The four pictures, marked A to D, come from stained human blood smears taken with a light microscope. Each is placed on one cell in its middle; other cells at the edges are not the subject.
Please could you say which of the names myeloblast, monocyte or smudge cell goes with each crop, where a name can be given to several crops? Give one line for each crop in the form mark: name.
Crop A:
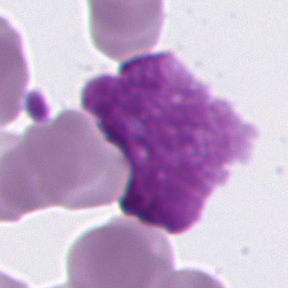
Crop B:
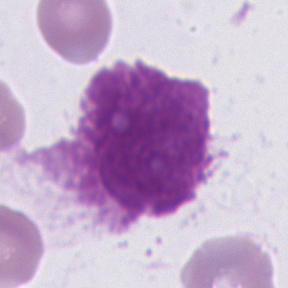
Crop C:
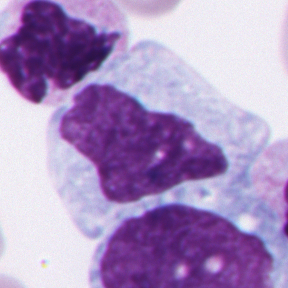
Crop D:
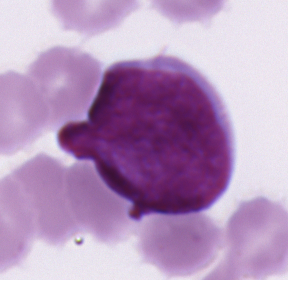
A: smudge cell
B: smudge cell
C: monocyte
D: myeloblast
